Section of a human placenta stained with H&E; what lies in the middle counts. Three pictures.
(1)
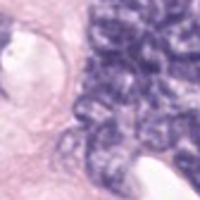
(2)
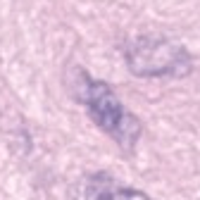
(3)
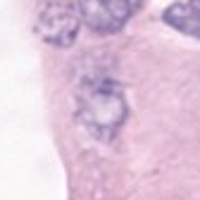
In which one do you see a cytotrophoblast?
In picture 3.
